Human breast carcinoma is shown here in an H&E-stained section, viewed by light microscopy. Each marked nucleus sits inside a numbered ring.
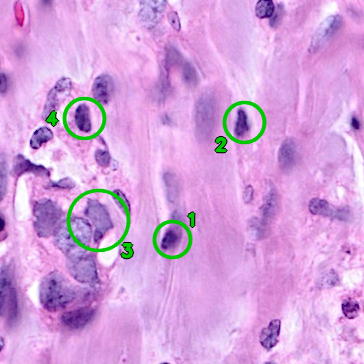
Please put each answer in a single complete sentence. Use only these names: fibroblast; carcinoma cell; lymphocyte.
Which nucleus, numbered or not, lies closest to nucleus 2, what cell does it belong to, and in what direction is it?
It is a fibroblast, whose nucleus lies to the left of nucleus 2.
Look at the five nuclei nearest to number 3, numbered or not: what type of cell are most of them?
Carcinoma cells make up most of the five nuclei closest to number 3.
